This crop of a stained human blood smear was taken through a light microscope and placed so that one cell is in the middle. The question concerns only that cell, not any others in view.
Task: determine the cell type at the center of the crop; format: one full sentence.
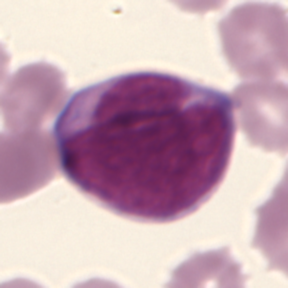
The centrally positioned cell in the crop represents a blast.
